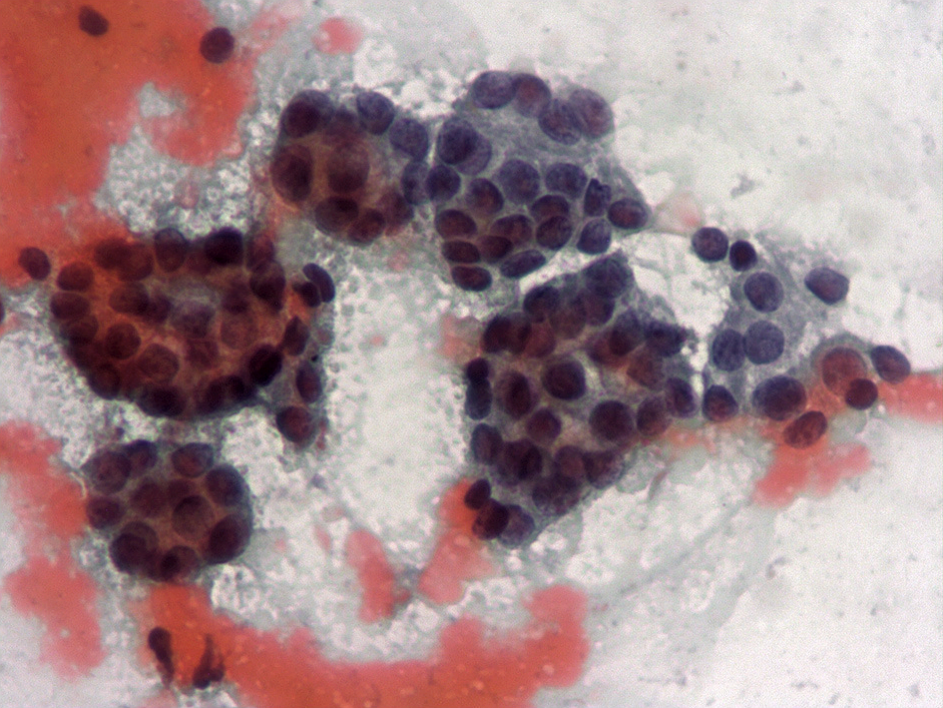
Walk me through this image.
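Several groups form small ring-like, follicle-like arrangements, and cells overlap within the clusters. The groups lie on a background of orange-red blood.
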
